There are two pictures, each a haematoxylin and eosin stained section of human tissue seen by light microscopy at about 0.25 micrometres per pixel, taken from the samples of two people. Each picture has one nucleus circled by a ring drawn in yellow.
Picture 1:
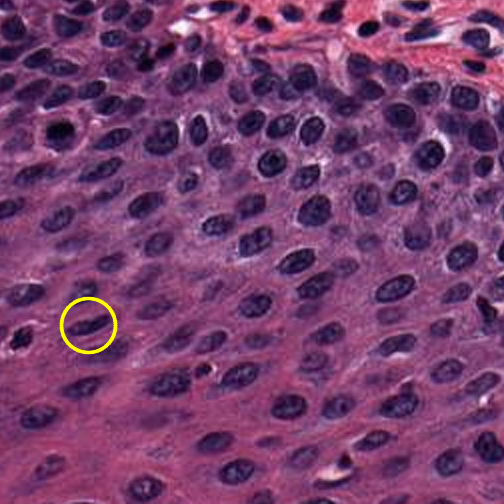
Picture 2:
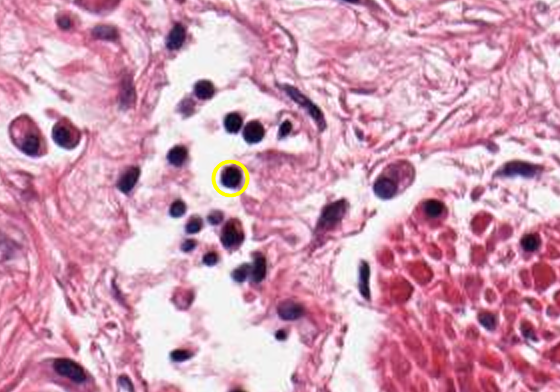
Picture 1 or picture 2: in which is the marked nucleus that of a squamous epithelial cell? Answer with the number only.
1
